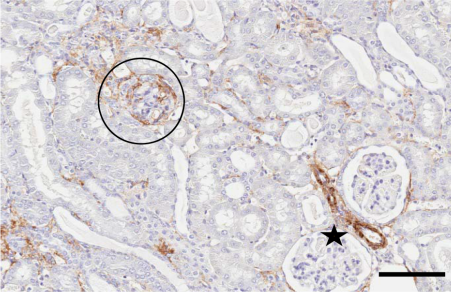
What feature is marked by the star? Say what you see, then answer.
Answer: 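Beside the star lie round glomeruli with open capillary loops. Each has a thin clear Bowman's space. The answer: normal-appearing glomeruli.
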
